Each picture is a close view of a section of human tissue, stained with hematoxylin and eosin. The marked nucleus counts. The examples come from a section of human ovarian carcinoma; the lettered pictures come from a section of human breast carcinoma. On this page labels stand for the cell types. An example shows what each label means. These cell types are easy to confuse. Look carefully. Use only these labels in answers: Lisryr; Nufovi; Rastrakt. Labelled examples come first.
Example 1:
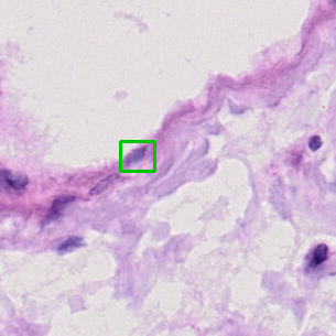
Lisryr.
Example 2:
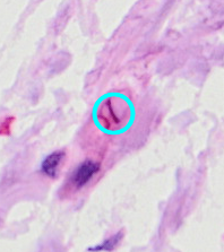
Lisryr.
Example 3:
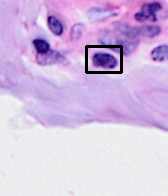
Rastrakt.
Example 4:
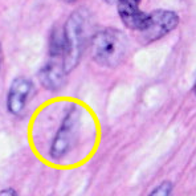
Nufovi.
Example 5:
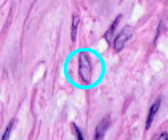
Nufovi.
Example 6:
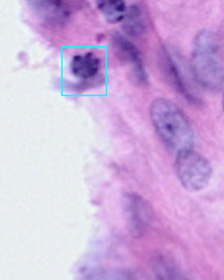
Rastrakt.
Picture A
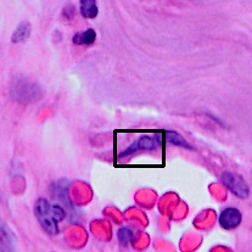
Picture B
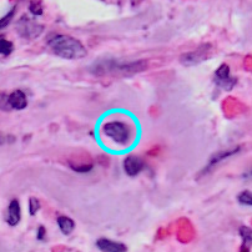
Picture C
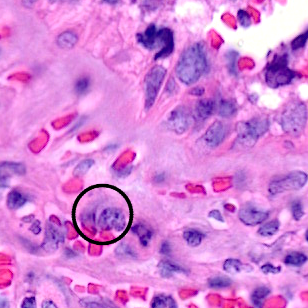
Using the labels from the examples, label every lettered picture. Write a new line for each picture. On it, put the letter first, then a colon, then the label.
A: Lisryr.
B: Rastrakt.
C: Lisryr.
